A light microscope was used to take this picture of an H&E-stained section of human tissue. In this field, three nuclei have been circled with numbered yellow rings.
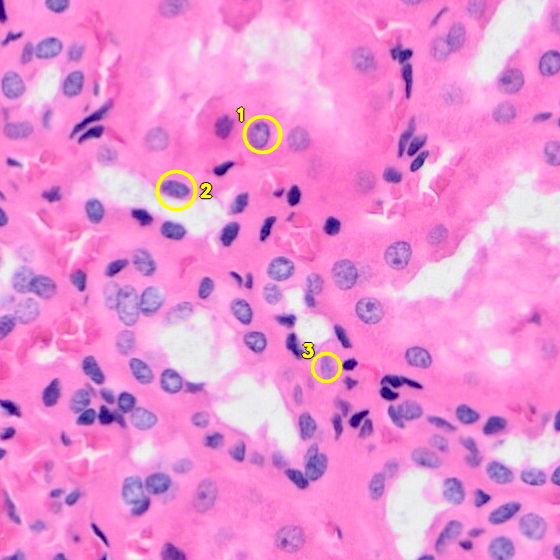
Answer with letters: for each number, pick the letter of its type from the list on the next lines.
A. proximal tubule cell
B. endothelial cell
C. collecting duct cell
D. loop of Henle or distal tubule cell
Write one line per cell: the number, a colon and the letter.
1: A
2: D
3: C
